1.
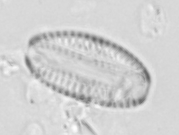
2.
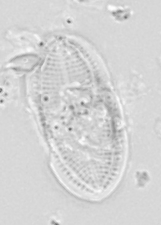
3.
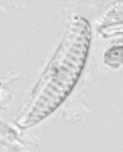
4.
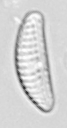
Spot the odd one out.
Picture 2 (Cocconeis among Amphora).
